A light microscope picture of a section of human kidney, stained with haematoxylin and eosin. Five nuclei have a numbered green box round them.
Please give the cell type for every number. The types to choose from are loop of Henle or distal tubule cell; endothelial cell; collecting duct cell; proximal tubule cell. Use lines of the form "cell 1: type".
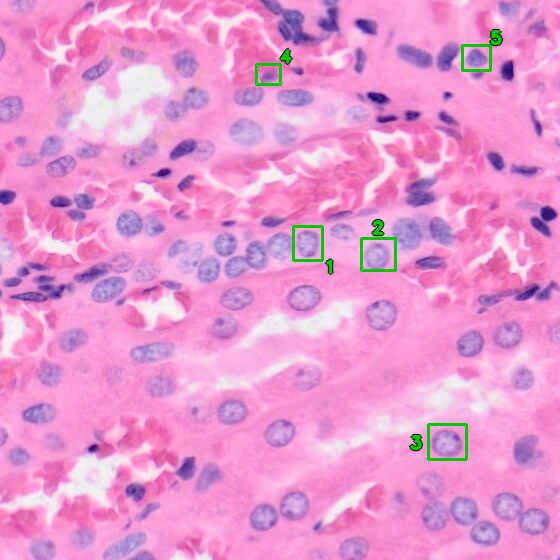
cell 1: collecting duct cell
cell 2: collecting duct cell
cell 3: proximal tubule cell
cell 4: endothelial cell
cell 5: endothelial cell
